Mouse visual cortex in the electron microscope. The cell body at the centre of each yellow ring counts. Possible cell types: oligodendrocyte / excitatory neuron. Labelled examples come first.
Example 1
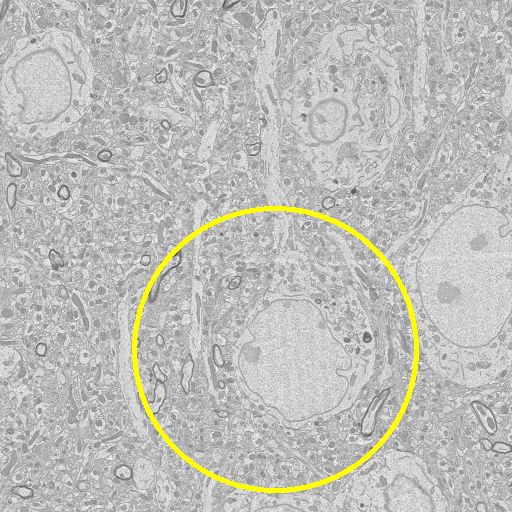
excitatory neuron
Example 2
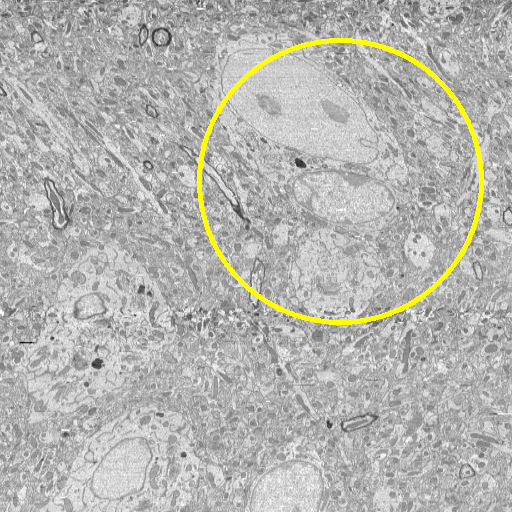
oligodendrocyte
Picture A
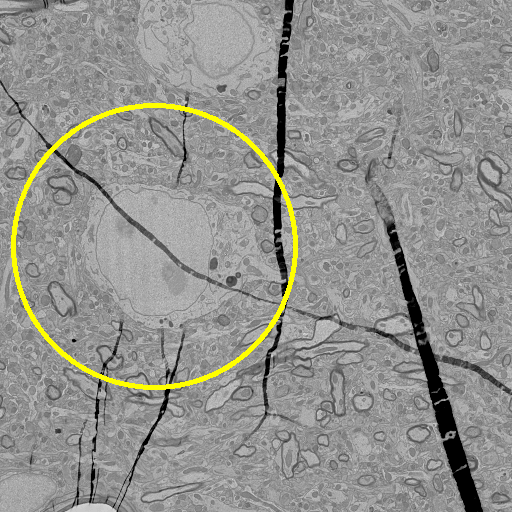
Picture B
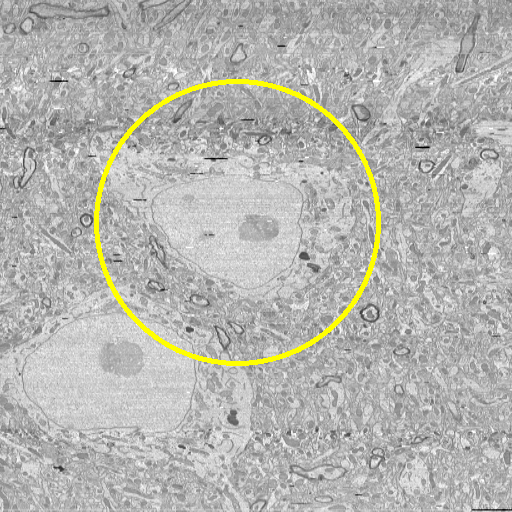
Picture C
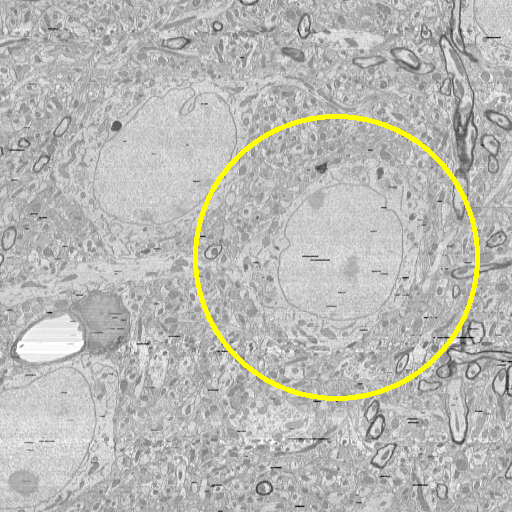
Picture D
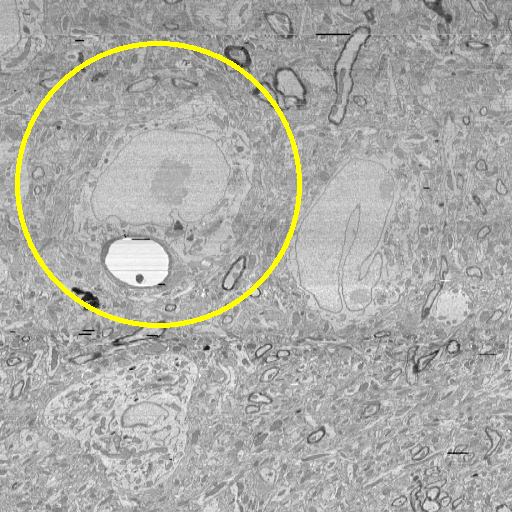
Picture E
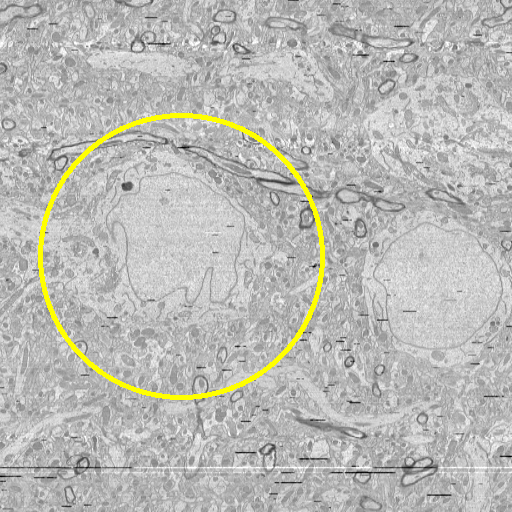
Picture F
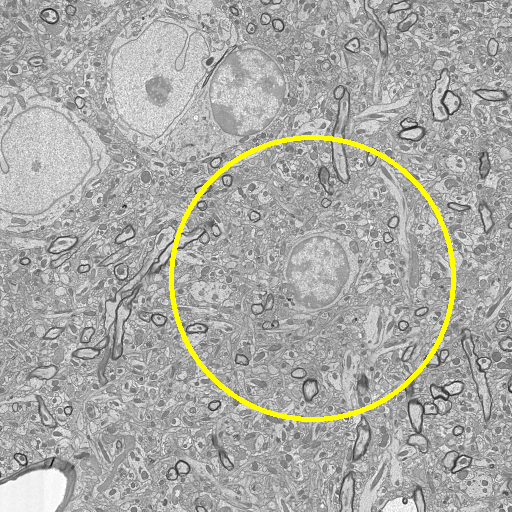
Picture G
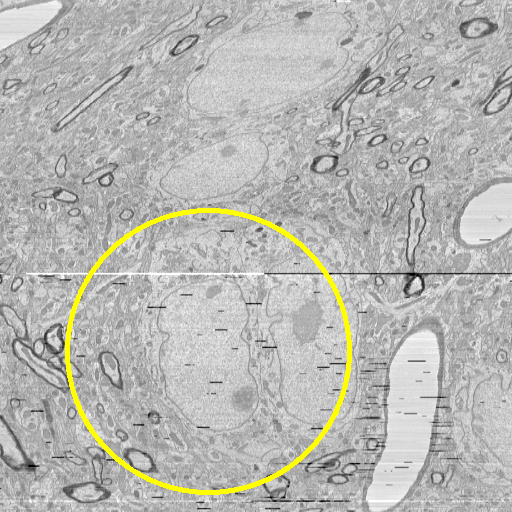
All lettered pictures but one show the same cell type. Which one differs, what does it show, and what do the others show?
F differs and shows oligodendrocyte; the others show excitatory neuron.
